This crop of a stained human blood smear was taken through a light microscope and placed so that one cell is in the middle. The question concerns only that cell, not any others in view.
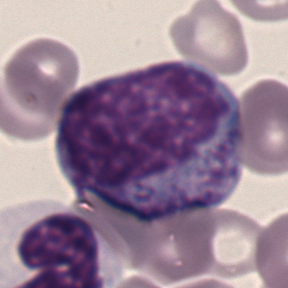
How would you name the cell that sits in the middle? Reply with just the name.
promyelocyte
